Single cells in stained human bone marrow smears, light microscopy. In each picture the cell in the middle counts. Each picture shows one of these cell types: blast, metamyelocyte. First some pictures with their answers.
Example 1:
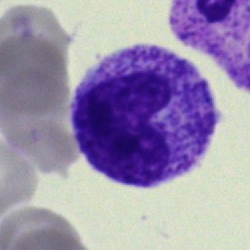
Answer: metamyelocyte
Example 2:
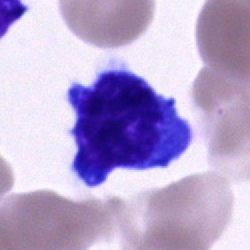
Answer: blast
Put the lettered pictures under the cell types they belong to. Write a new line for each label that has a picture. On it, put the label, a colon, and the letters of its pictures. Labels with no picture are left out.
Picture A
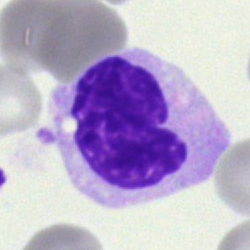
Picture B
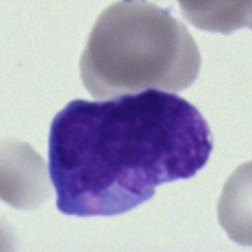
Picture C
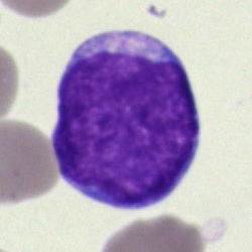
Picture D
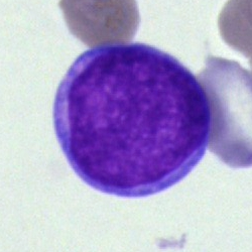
blast: B, C, D
metamyelocyte: A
